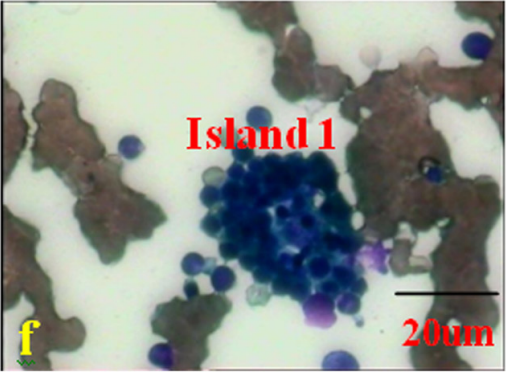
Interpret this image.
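A few loose round nucleated cells lie apart from the cluster, and clumped red cells form brownish masses around it. Some paler pink-purple material at the edge of the cluster hints at the cytoplasm of a larger cell among them.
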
